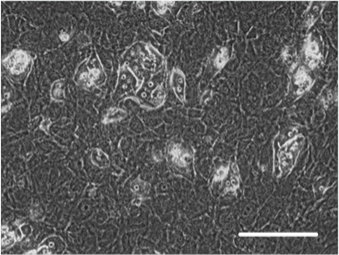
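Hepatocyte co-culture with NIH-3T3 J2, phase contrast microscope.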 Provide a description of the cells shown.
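Scattered small groups of rounded-polygonal cells with bright outlines are set within a dense, confluent layer of thin spindle-shaped cells. The polygonal cells show clear round nuclei and a somewhat granular cytoplasm, and they sit in tight clusters of a few cells each. The spindle cells fill all the space between the clusters.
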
